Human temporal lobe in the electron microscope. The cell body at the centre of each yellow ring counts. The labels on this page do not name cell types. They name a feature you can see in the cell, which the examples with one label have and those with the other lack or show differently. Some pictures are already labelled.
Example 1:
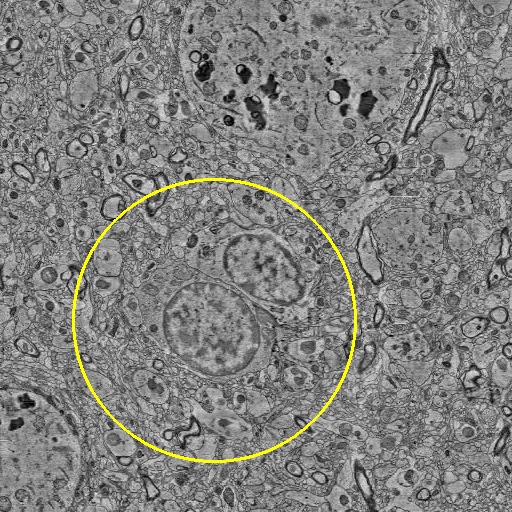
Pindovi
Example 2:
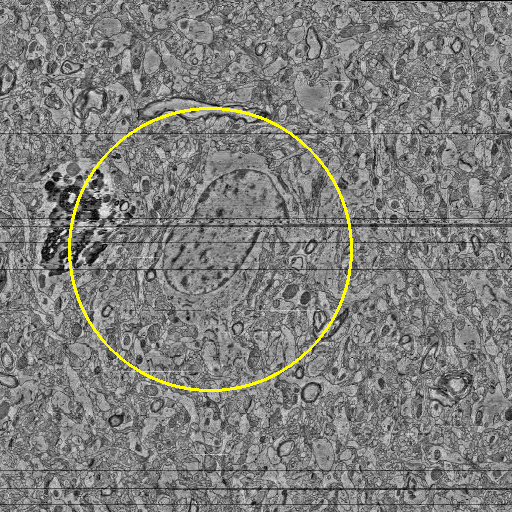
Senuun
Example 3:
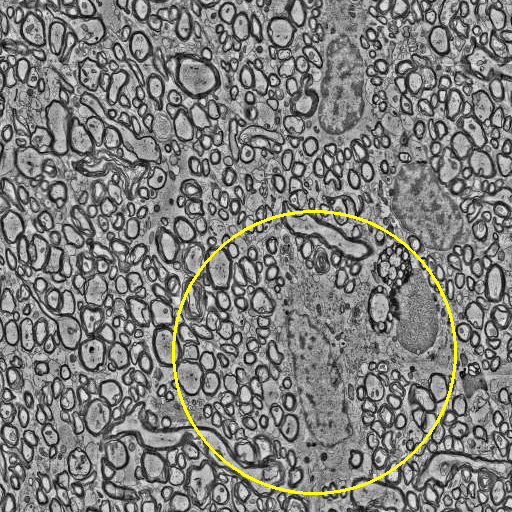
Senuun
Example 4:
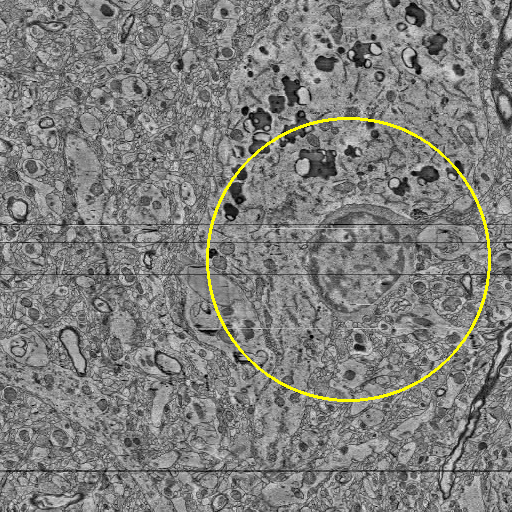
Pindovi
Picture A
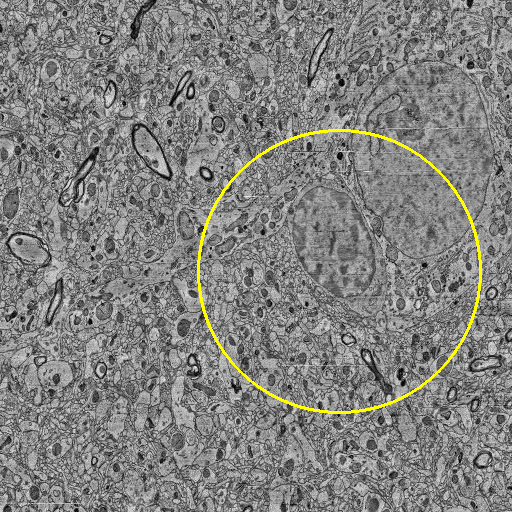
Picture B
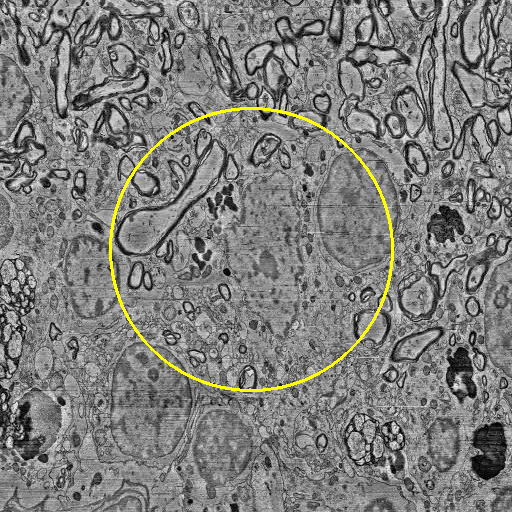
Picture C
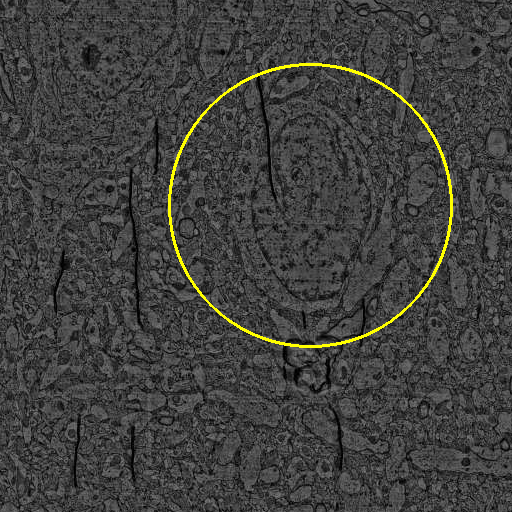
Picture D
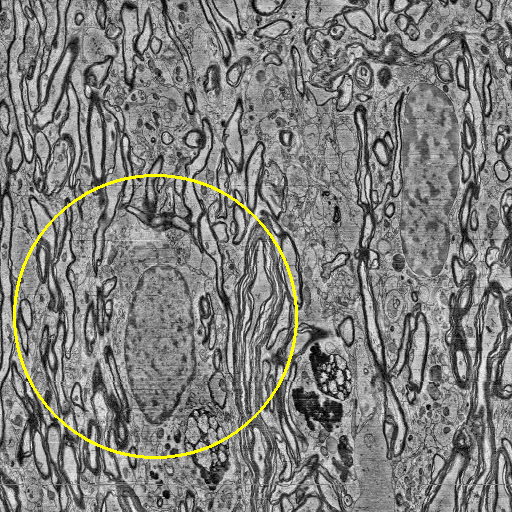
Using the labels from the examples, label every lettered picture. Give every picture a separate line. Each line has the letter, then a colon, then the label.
A: Senuun
B: Senuun
C: Senuun
D: Senuun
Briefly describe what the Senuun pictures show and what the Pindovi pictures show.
Senuun: clearly elongated nuclei; Pindovi: round or nearly round nuclei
